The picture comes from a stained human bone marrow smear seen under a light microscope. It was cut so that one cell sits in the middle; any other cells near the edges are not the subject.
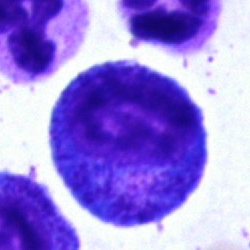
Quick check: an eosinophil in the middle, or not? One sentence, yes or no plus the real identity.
No, not an eosinophil but a promyelocyte is the cell in the centre.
